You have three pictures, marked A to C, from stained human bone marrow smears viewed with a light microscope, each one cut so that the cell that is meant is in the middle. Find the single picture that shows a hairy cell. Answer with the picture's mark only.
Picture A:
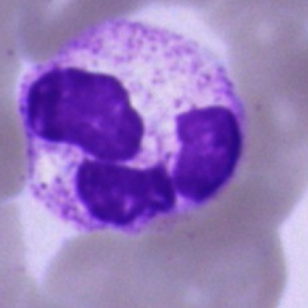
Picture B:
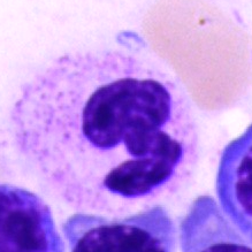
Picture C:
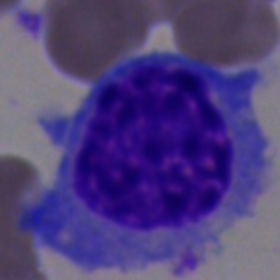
C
